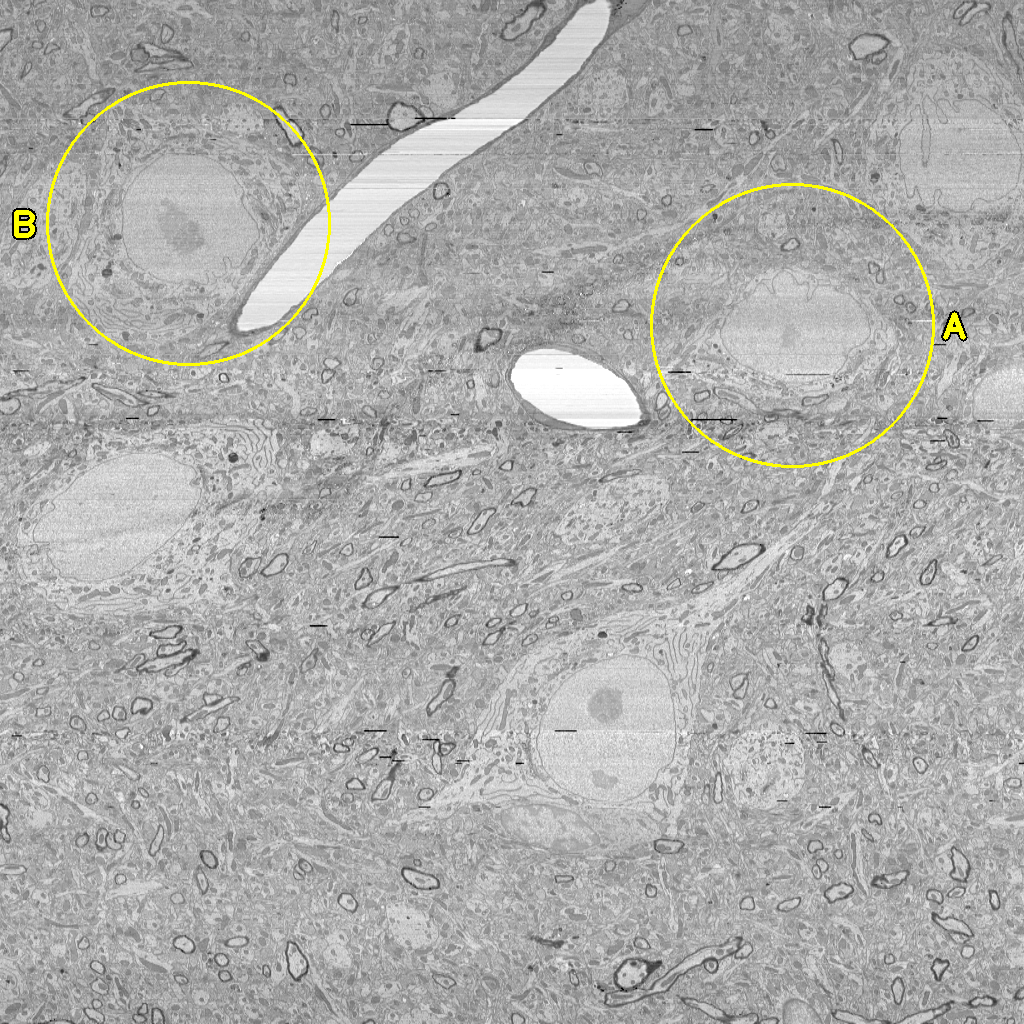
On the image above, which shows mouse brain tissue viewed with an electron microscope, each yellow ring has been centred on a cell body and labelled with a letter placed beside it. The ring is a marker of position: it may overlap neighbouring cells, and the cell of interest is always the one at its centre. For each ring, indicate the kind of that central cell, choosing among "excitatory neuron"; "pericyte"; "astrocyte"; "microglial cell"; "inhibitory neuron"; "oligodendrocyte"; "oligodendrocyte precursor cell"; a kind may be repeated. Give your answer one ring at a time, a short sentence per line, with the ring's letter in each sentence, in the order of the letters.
Ring A shows an inhibitory neuron at its centre.
Ring B shows an inhibitory neuron at its centre.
